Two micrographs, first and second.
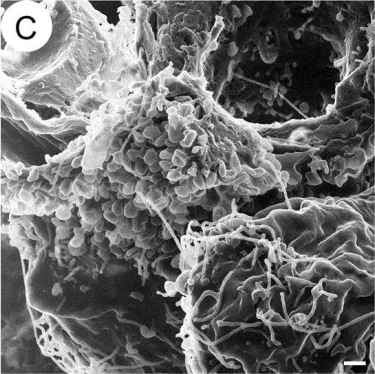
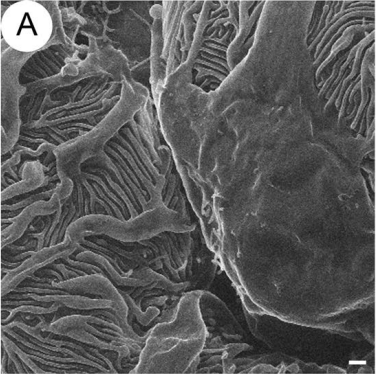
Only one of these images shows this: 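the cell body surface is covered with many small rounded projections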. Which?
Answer: The first image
